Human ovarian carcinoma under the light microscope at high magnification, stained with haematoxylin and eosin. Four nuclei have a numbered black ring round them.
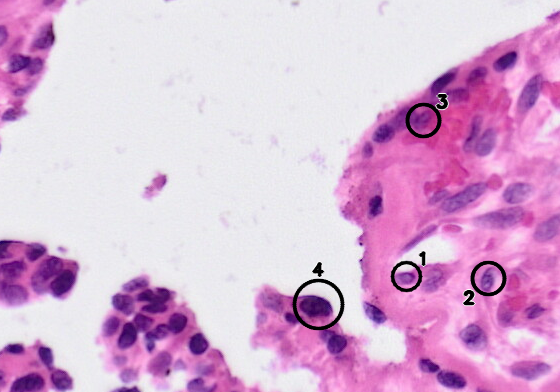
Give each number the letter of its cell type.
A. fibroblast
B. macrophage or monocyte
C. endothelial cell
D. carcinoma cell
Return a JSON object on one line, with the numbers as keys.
{"1": "A", "2": "A", "3": "C", "4": "D"}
